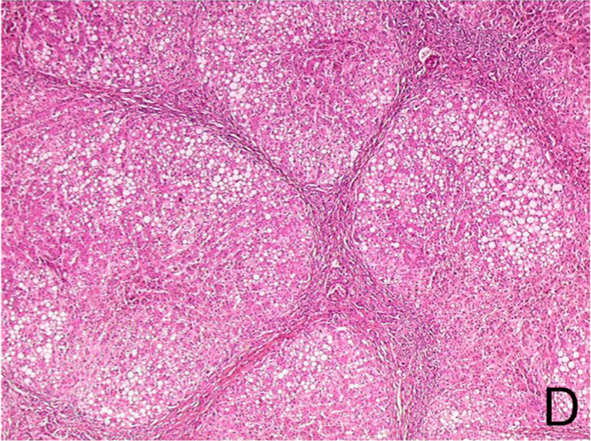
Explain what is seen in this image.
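Liver tissue divided into rounded nodules of hepatocytes by pink fibrous septa that connect around each nodule. Many hepatocytes within the nodules contain clear, round fat vacuoles, giving the nodules a pale, bubbly look.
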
